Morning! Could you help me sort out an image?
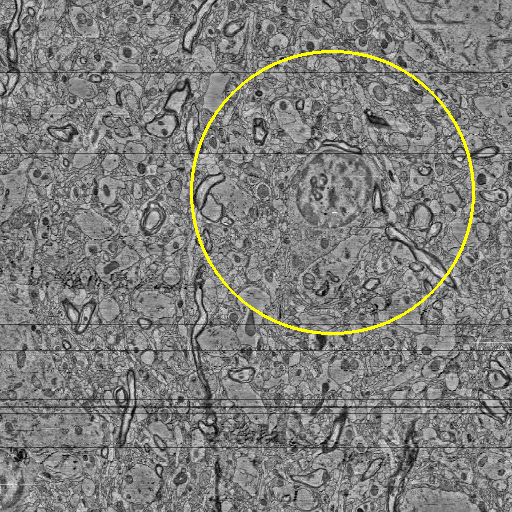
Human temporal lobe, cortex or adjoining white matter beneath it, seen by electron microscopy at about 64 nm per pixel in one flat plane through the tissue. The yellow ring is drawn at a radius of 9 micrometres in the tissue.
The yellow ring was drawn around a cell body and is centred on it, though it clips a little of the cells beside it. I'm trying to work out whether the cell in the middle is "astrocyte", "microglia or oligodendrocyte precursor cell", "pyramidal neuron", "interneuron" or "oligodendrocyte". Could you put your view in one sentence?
The ringed cell body is that of an oligodendrocyte.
